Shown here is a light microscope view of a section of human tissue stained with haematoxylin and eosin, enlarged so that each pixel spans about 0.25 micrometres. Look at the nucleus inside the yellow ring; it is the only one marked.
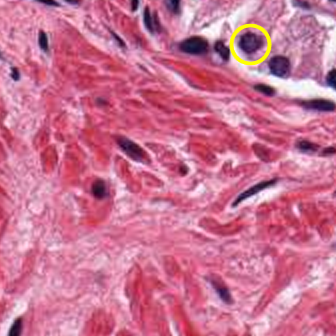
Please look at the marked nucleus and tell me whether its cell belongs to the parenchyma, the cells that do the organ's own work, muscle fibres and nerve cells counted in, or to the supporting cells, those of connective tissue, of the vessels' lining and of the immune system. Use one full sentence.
The marked nucleus is carried by a parenchymal cell, namely a prostate gland luminal cell.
